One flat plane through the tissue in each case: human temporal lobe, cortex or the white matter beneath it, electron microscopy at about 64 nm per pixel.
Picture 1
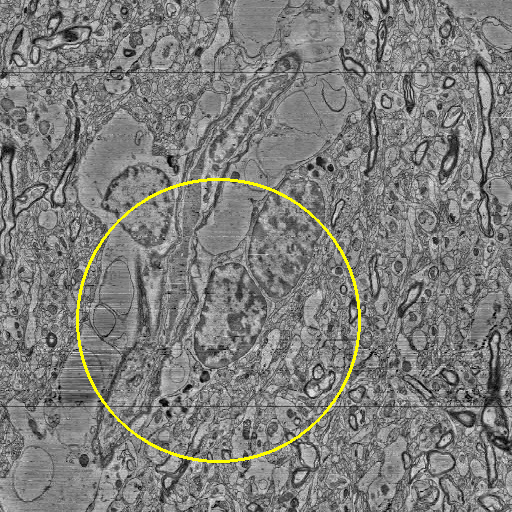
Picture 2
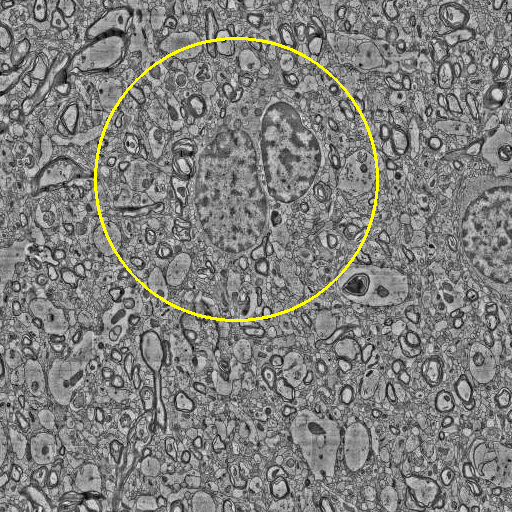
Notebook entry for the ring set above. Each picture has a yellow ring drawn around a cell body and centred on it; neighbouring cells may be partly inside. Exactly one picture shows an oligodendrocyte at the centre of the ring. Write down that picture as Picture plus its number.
Picture 2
